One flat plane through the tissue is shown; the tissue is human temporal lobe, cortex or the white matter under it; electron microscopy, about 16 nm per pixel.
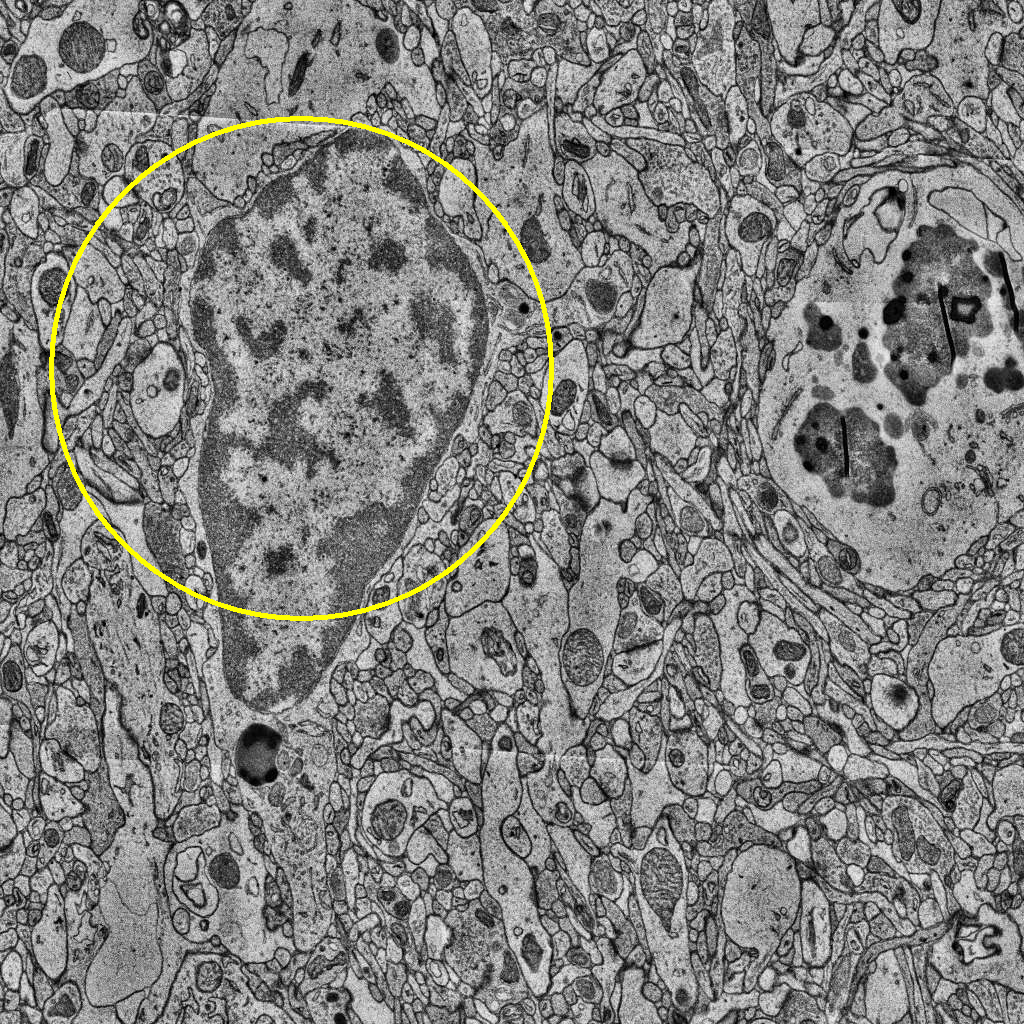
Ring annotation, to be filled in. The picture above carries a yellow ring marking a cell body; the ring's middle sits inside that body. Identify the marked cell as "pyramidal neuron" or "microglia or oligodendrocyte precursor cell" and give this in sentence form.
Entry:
The cell at the middle of the ring is a microglial cell or oligodendrocyte precursor cell.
